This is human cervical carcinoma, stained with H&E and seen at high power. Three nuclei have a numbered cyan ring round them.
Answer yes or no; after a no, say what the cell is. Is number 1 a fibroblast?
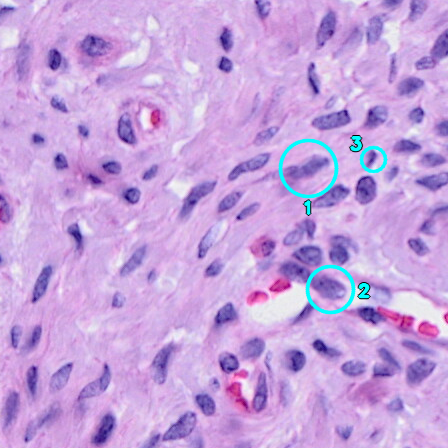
Yes.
